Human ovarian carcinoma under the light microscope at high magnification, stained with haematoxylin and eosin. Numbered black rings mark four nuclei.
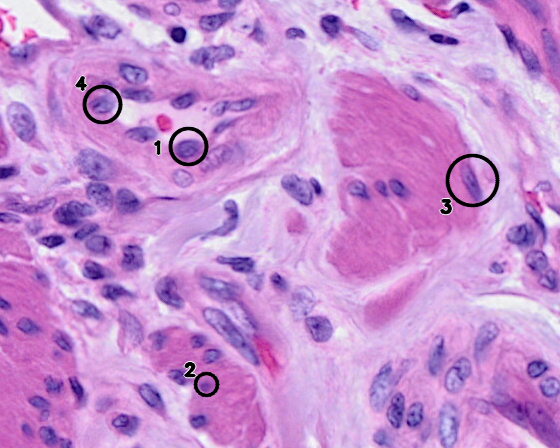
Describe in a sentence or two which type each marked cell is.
Cells 1 and 4 are endothelial cells. Cells 2 and 3 are smooth muscle cells.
